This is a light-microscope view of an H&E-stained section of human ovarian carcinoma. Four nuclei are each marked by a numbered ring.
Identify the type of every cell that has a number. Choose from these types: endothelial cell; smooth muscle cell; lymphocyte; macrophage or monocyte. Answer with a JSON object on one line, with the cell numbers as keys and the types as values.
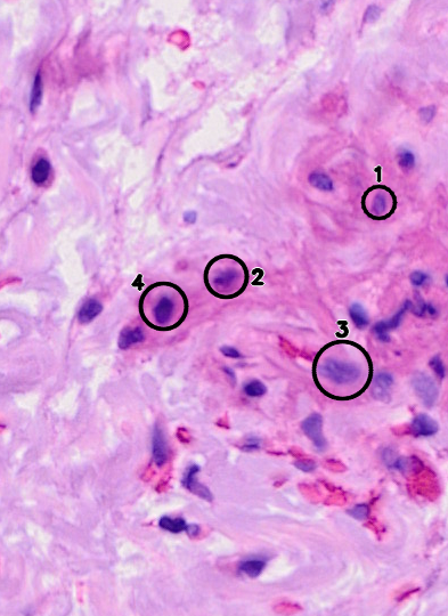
{"1": "smooth muscle cell", "2": "smooth muscle cell", "3": "endothelial cell", "4": "smooth muscle cell"}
